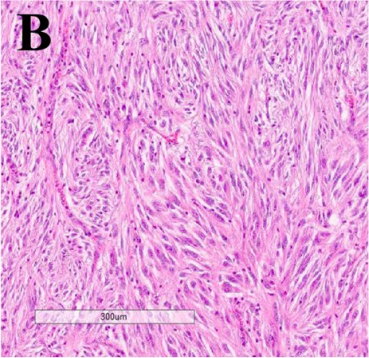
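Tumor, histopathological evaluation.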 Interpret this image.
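The nuclei are elongated and tapered, lying within pale pink fibrillar cytoplasm whose cell borders are hard to make out. Fascicles run in different directions, giving a woven pattern, and a small vessel crosses the field.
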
